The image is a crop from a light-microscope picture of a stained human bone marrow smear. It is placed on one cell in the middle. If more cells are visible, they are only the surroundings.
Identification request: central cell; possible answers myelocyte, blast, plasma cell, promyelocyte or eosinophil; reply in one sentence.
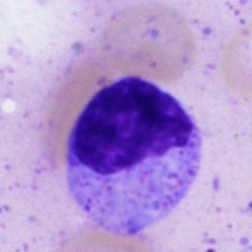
The central cell shown in this smear crop is a myelocyte.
